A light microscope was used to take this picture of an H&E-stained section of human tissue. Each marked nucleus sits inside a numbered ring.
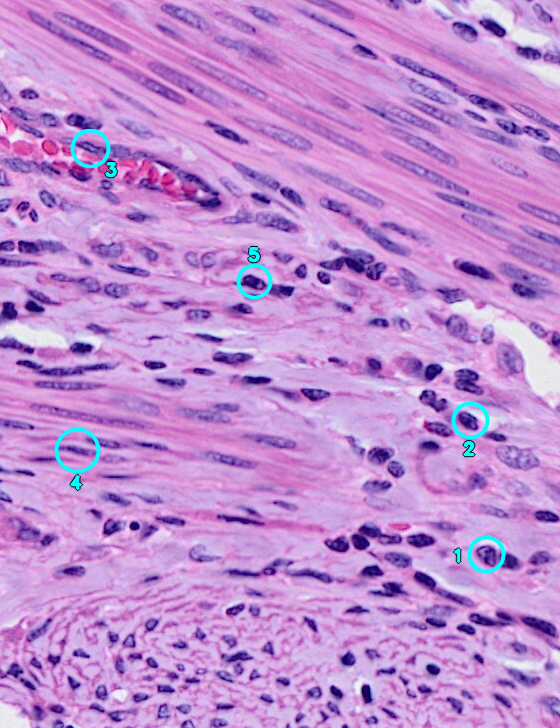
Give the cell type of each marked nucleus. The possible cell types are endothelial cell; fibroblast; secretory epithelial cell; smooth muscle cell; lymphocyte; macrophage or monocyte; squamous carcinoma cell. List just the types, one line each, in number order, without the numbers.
lymphocyte
lymphocyte
endothelial cell
smooth muscle cell
lymphocyte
